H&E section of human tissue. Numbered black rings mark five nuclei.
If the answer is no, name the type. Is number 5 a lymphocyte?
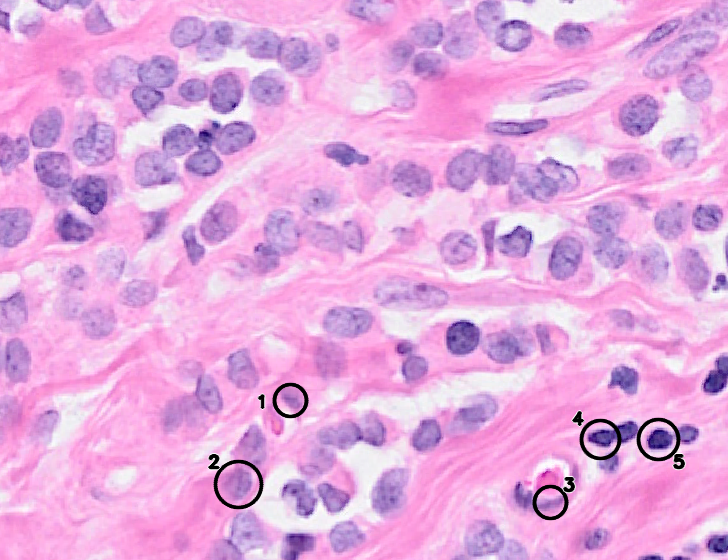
Yes.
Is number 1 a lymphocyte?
No, it is an endothelial cell.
